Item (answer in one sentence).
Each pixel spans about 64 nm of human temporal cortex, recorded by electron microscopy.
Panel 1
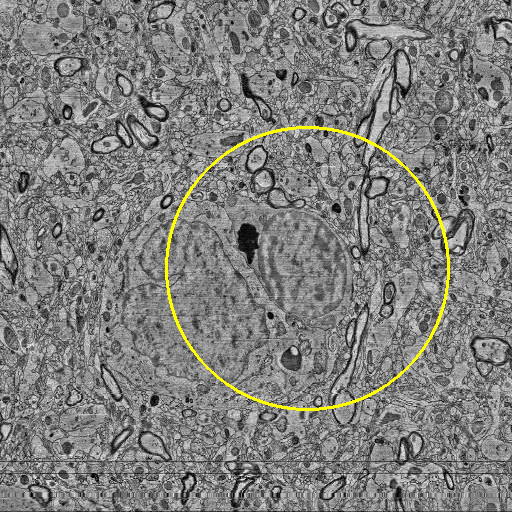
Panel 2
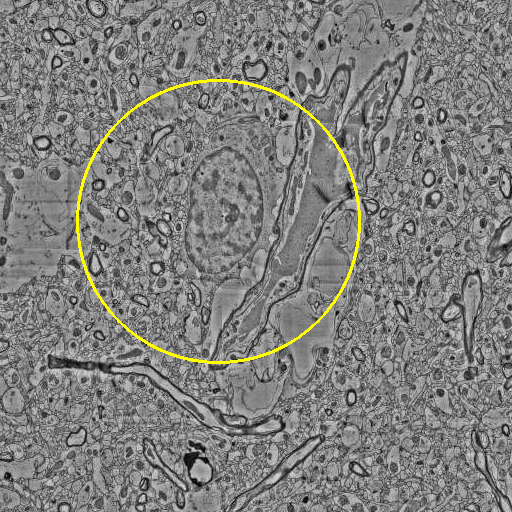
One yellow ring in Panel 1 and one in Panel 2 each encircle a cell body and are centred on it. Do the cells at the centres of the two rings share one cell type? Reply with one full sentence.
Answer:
Yes, Panel 1 and Panel 2 show cells of one type at the centres of their rings.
